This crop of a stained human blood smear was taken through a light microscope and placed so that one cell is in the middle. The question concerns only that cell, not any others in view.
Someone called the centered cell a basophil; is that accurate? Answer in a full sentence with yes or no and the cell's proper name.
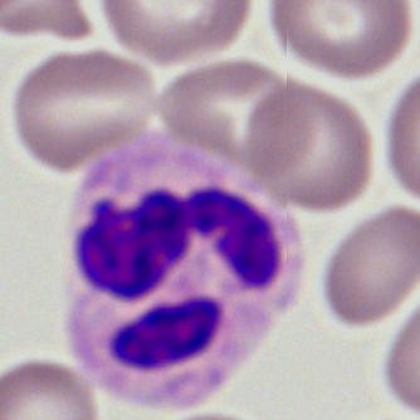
No, the central cell is reported as a neutrophil rather than as a basophil.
